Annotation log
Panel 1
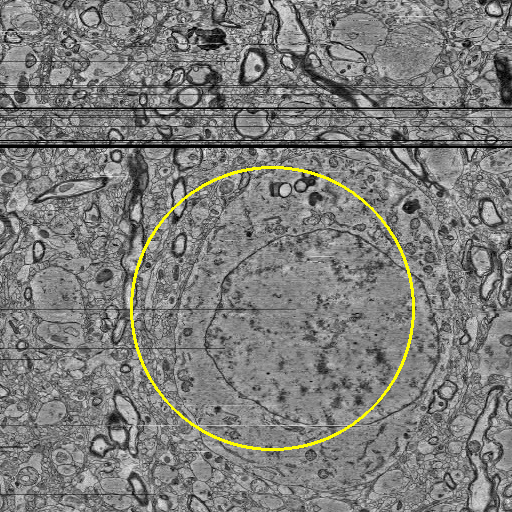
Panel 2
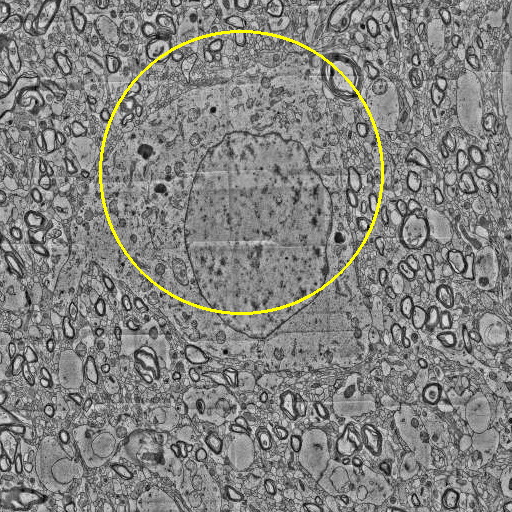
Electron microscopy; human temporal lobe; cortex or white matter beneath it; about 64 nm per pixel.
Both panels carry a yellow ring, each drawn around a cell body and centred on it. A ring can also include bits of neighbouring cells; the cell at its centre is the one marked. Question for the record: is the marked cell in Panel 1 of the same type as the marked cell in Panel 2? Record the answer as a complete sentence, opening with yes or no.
Yes, the marked cells in Panel 1 and Panel 2 are of the same type.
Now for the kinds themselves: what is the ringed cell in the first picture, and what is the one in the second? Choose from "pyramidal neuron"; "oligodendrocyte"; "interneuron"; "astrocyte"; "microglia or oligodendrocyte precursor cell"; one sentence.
Each cell at the centre of a ring is a pyramidal neuron.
